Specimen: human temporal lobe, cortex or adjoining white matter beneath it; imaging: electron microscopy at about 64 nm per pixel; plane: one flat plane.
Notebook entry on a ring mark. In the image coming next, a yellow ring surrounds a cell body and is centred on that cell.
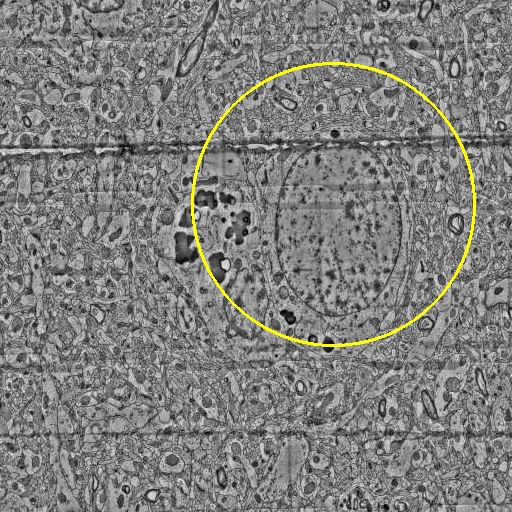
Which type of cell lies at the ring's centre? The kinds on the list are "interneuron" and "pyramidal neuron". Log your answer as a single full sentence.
Centred in the yellow ring is a pyramidal neuron, the cell recorded for this image.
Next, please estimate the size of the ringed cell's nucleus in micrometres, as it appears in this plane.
The nucleus of the ringed cell is approximately 11 by 8 micrometres in this plane.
